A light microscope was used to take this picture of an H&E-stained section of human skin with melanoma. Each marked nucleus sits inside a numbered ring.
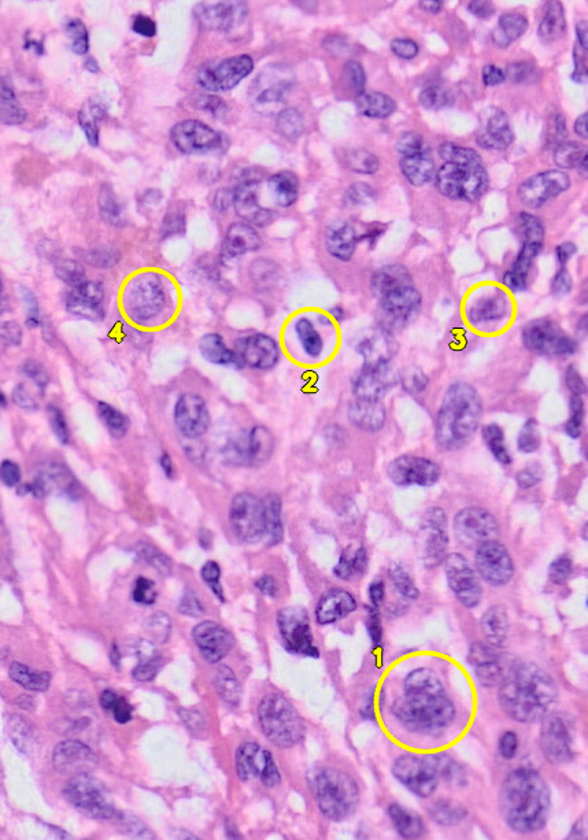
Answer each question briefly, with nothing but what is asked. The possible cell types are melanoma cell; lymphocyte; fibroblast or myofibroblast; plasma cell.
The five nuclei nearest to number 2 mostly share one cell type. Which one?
melanoma cell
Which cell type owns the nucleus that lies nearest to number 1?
melanoma cell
